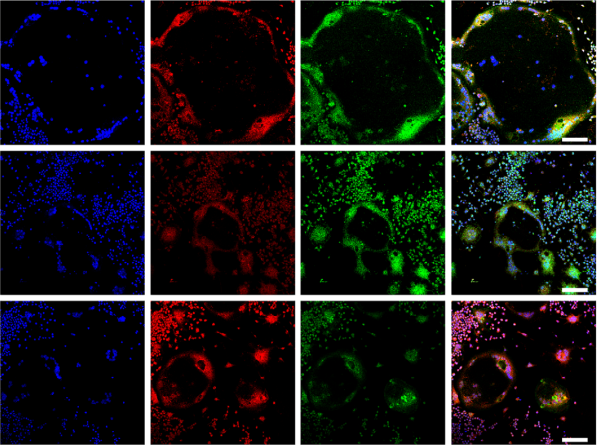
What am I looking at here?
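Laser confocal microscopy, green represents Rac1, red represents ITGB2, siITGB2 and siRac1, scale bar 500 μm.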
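Many small round blue nuclei are scattered across each field, densely packed in some areas and sparse in others. In the top row, large rounded cell outlines with bright red and green rims enclose wide areas with few nuclei, and the merged image shows yellow where the two colours overlap along these rims. In the lower rows, smaller rounded and ring-like structures outlined in red and green lie among many dispersed, individually stained small cells. In the bottom row, the red channel is bright in many small round cells, while the green channel is weaker and patchier.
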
